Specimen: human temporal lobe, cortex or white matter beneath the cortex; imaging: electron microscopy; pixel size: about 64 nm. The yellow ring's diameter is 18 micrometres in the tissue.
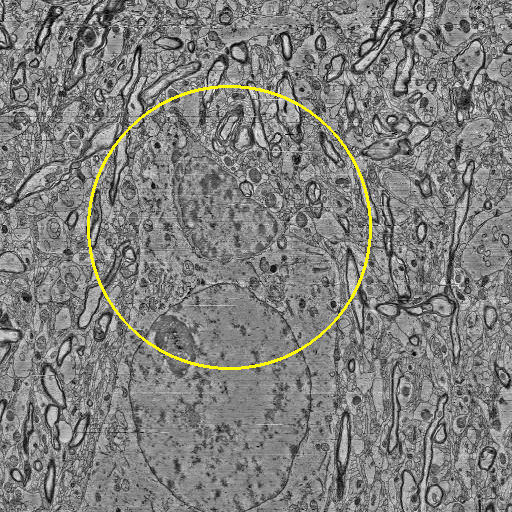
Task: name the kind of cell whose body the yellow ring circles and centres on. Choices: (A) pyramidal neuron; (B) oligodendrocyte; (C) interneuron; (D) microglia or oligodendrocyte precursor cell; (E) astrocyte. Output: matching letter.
B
